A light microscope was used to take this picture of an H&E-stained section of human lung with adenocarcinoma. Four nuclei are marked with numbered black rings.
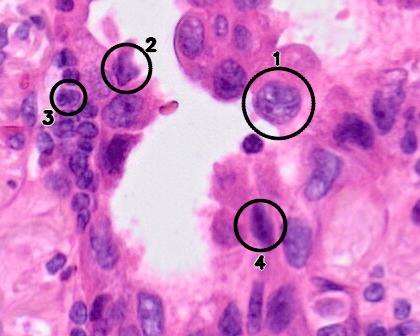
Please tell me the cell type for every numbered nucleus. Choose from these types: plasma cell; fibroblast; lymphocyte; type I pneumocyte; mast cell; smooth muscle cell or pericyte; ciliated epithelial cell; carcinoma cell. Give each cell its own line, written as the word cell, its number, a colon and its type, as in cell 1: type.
cell 1: carcinoma cell
cell 2: carcinoma cell
cell 3: lymphocyte
cell 4: carcinoma cell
